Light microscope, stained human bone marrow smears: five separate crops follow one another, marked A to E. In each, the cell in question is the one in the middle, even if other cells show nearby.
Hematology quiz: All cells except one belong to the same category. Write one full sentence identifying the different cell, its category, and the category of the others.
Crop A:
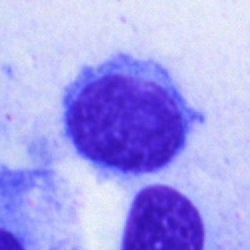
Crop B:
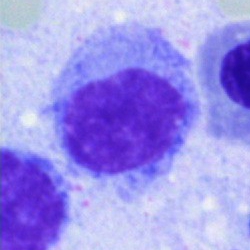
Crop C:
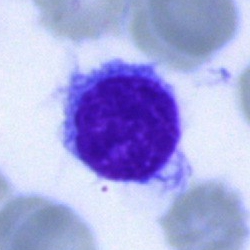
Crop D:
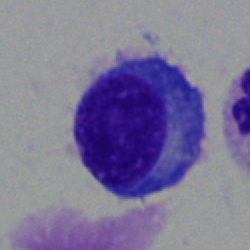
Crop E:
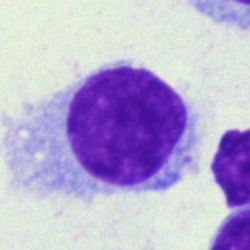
Here the outlier is crop D, which is a plasma cell, and the rest are hairy cells.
